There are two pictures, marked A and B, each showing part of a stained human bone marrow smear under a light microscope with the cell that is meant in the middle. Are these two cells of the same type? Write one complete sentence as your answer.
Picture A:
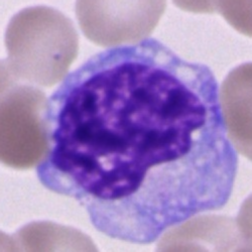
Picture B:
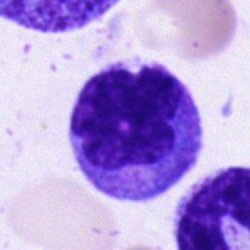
Yes, both are monocytes.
